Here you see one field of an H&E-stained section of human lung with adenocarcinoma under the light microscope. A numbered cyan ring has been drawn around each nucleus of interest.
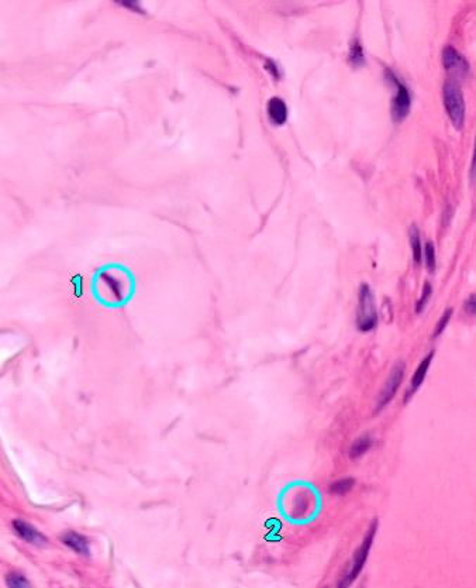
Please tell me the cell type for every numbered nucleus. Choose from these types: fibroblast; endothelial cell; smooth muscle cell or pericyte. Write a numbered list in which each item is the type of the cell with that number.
1. fibroblast
2. smooth muscle cell or pericyte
